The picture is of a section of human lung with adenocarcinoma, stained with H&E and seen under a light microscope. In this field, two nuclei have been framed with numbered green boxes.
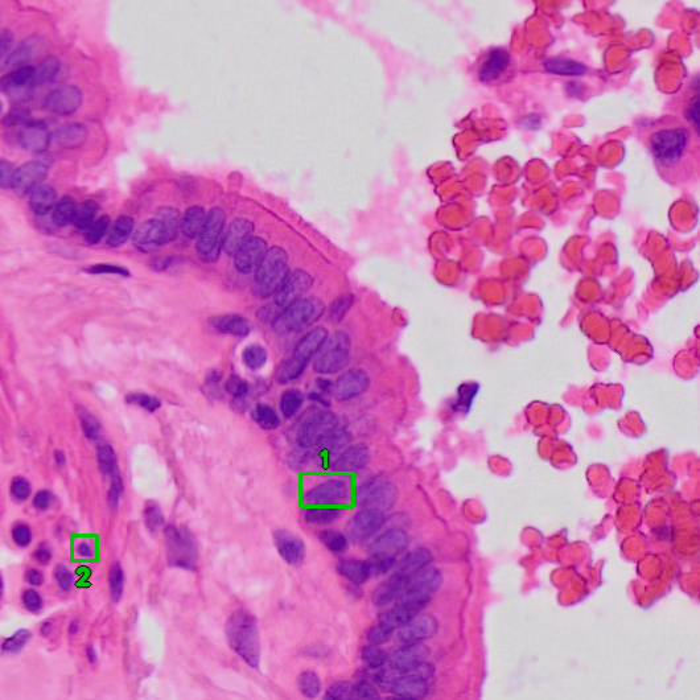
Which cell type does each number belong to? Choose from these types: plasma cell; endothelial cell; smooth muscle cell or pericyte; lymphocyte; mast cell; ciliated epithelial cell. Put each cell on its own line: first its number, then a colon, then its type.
1: ciliated epithelial cell
2: smooth muscle cell or pericyte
